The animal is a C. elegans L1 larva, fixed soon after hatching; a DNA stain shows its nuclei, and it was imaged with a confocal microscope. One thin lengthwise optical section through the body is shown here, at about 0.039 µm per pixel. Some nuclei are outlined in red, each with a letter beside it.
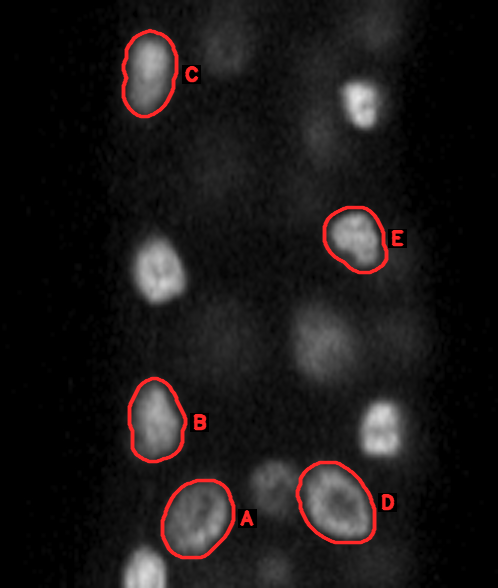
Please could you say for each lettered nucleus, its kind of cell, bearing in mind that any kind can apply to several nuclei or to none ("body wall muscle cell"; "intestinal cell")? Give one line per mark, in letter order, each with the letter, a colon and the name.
A: intestinal cell
B: body wall muscle cell
C: body wall muscle cell
D: intestinal cell
E: body wall muscle cell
